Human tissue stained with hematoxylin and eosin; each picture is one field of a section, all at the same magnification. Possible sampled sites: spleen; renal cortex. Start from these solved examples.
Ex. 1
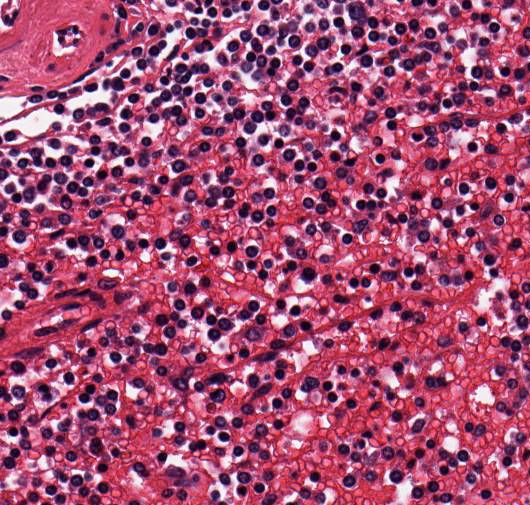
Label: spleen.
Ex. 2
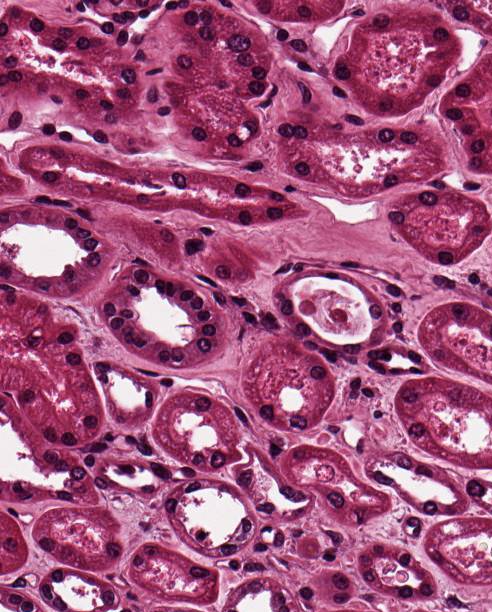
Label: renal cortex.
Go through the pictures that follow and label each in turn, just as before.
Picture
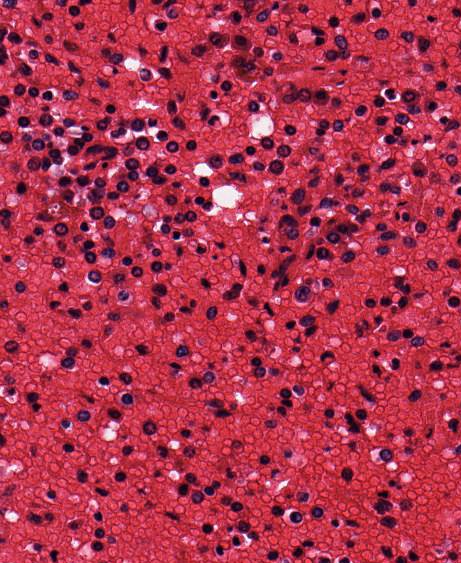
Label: spleen.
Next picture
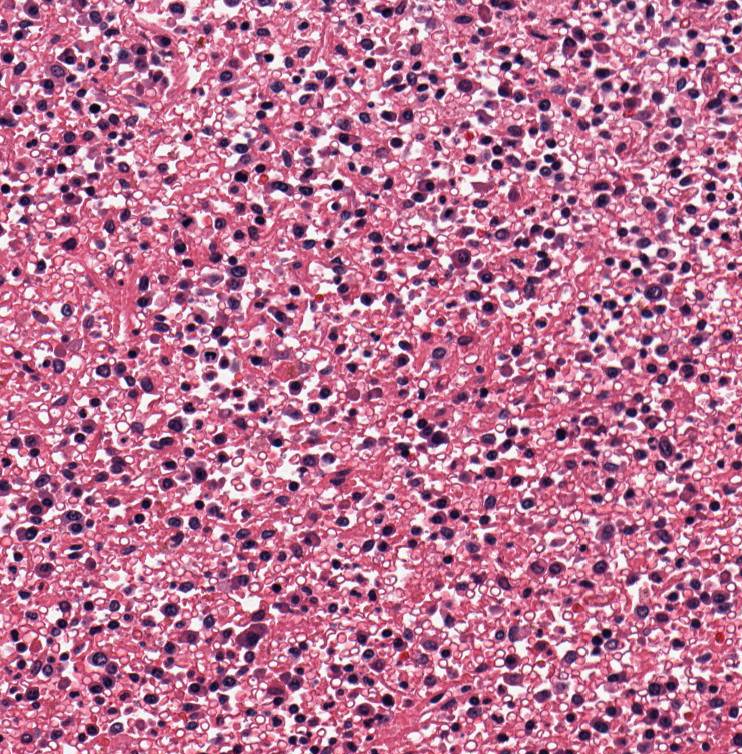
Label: spleen.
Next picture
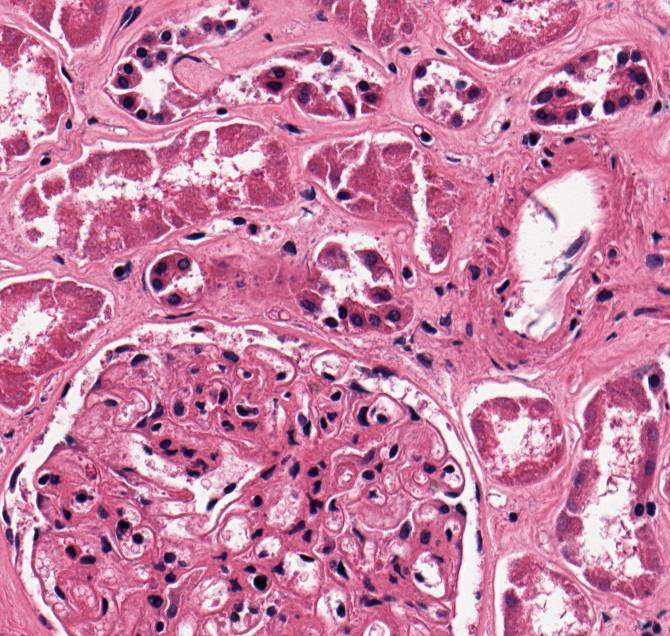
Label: renal cortex.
